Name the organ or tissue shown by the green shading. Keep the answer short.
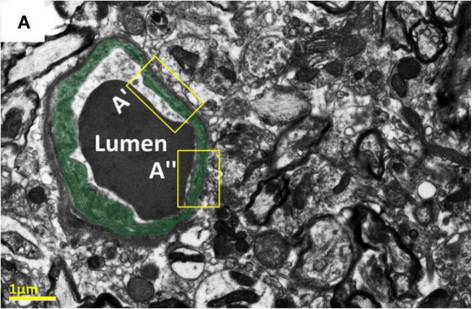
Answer: Endothelium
